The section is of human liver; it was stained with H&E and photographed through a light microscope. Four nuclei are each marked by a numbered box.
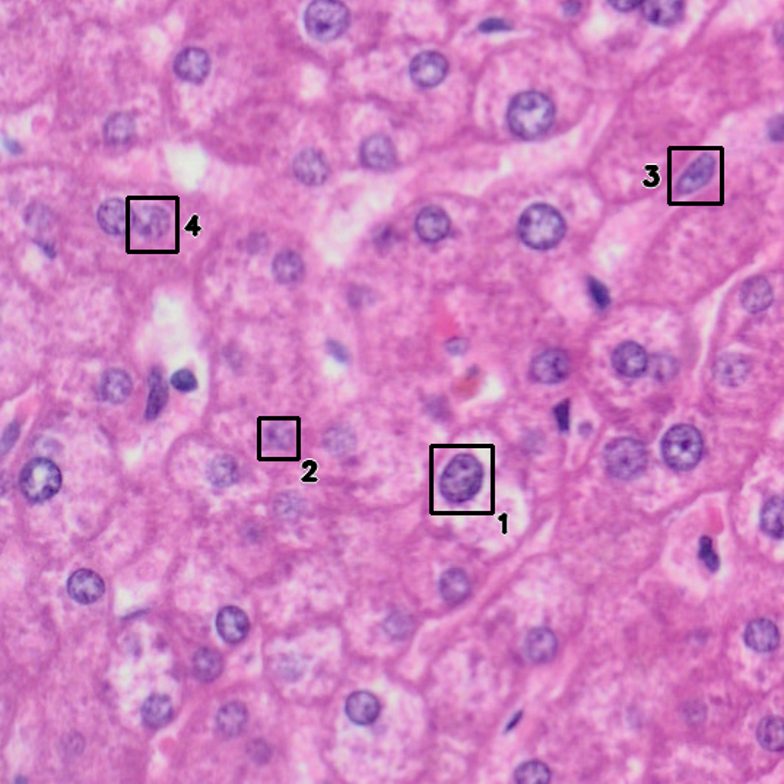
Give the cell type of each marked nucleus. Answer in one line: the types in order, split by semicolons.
hepatocyte; hepatocyte; Kupffer cell; hepatocyte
